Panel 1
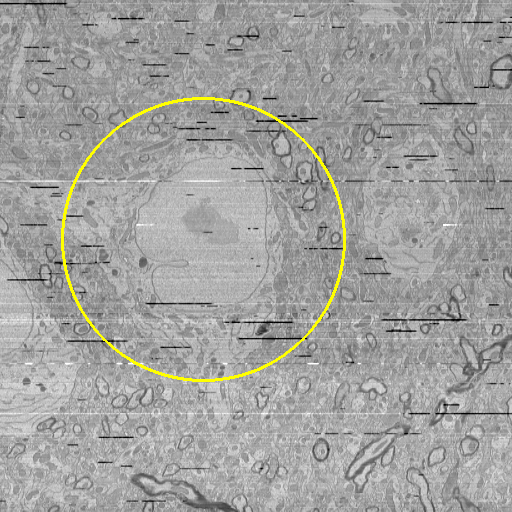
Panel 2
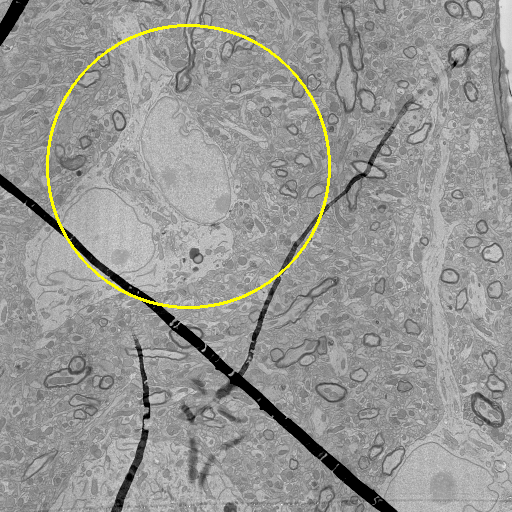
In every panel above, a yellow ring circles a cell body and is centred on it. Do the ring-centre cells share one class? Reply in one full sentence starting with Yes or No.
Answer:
No, the two cells at the ring centres in the panels belong to two classes.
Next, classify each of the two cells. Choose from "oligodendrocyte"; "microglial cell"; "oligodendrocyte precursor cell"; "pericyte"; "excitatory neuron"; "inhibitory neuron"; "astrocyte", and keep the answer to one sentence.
In the first picture it is an excitatory neuron; in the second it is an oligodendrocyte precursor cell.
